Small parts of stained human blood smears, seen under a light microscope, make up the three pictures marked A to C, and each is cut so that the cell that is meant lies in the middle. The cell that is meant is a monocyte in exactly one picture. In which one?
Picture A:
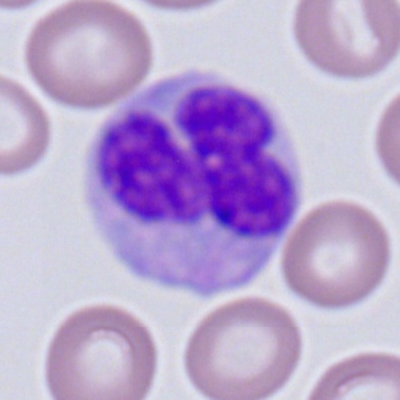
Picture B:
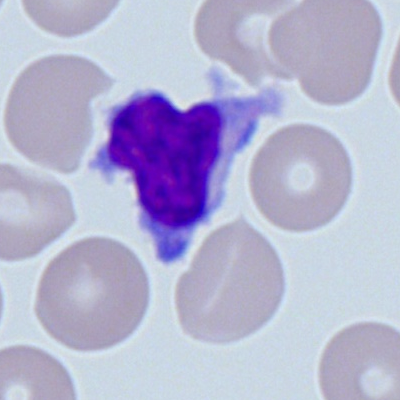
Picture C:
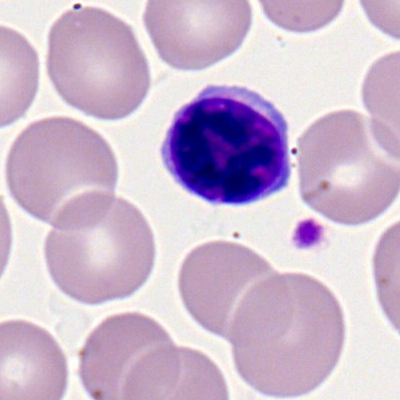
A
